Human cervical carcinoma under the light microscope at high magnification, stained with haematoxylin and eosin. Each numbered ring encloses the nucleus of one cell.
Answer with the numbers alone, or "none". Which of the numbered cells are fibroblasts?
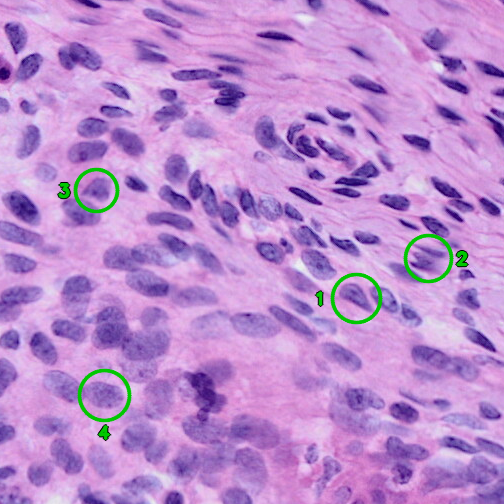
2, 3, 4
